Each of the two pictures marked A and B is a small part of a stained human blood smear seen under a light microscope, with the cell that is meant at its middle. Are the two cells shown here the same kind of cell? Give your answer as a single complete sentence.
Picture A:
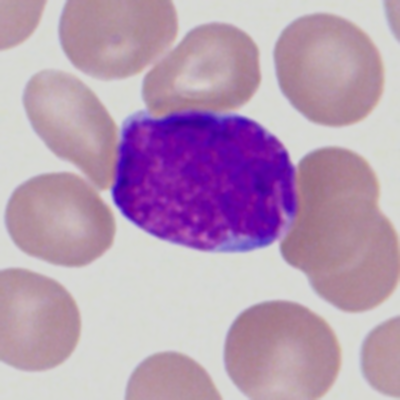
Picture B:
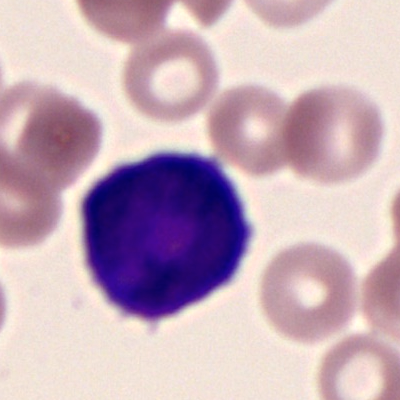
Yes, the two pictures both show myeloblasts.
